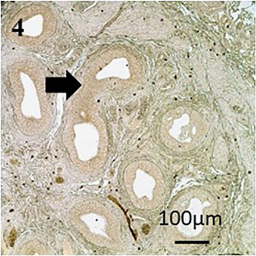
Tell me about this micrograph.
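Many round ducts with open lumens are cut across, each lined by a tall cell layer stained light brown and set in pale connective tissue with scattered dark nuclei. The stained lining is the epithelium of the epididymis.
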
